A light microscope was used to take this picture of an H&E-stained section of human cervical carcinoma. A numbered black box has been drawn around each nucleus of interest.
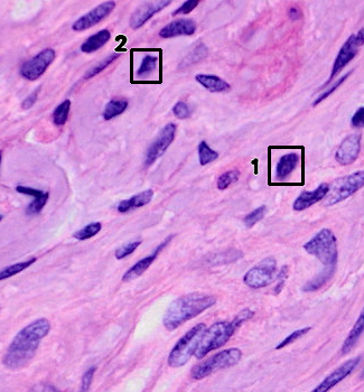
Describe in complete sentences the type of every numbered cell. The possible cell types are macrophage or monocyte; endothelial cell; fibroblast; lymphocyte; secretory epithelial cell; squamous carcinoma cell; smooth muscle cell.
Cell 1 is a lymphocyte and cell 2 is a fibroblast.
